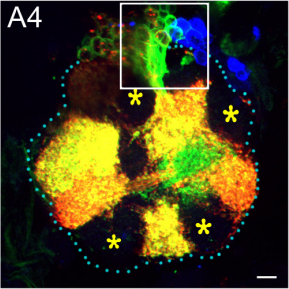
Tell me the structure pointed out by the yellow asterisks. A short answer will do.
Glomeruli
